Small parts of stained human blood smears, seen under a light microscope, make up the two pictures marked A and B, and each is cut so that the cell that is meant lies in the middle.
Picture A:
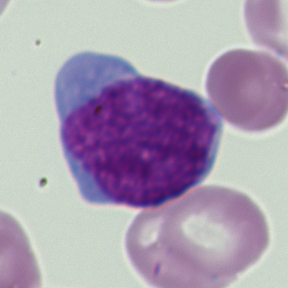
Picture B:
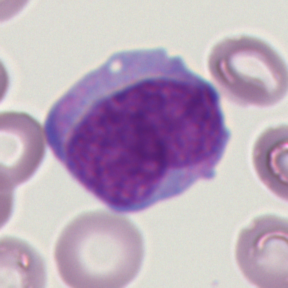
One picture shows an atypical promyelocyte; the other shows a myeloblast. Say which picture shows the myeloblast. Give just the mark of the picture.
A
